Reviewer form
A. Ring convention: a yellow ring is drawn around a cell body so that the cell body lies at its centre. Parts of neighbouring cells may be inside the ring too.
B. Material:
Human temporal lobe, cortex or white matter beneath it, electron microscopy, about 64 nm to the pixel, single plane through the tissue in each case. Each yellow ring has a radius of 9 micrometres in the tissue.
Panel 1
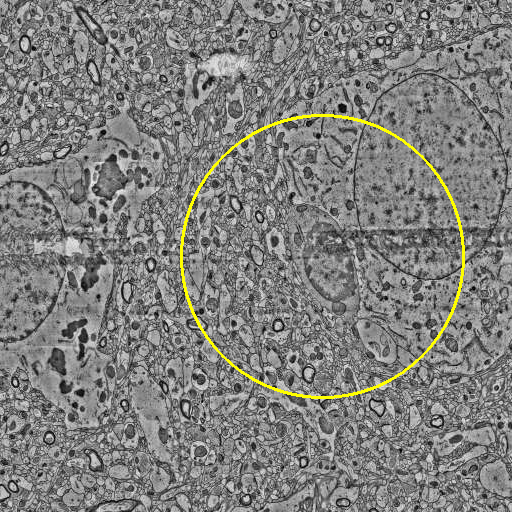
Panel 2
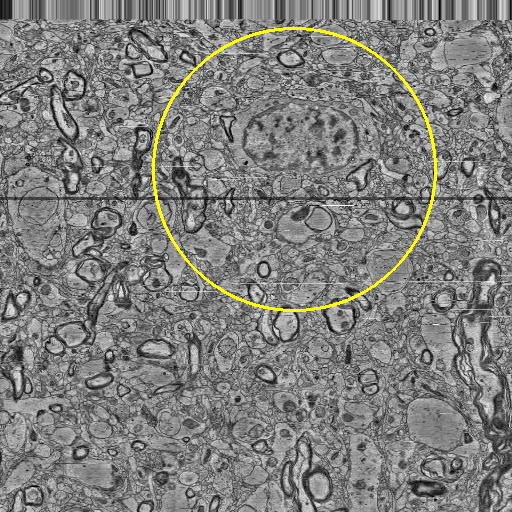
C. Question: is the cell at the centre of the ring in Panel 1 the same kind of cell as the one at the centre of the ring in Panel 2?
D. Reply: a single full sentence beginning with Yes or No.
Yes, the cells in Panel 1 and Panel 2 are the same kind of cell.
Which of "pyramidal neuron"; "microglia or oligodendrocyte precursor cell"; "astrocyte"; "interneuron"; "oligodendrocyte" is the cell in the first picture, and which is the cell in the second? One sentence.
Both the first and the second picture show an oligodendrocyte in the ring.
